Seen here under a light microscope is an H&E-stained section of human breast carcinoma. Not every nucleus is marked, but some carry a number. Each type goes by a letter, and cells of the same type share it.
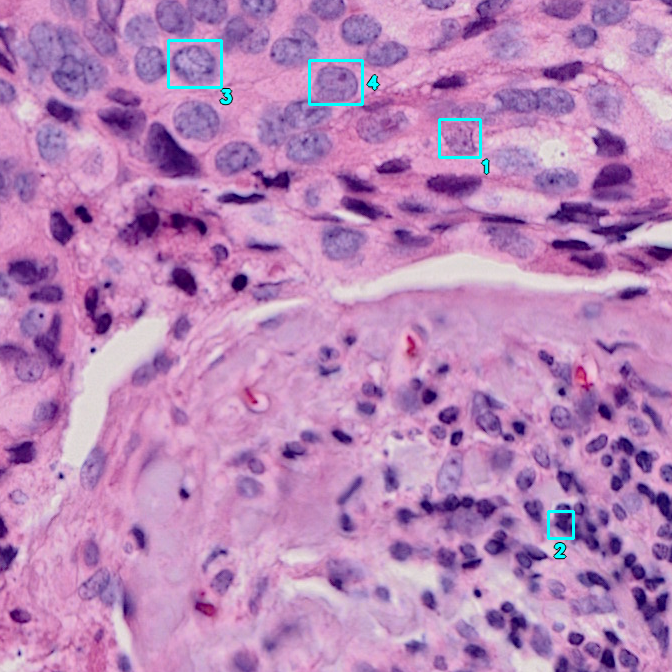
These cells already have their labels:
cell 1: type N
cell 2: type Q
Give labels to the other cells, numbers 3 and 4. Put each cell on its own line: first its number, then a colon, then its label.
3: type N
4: type N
